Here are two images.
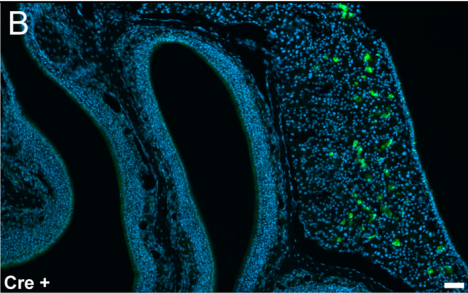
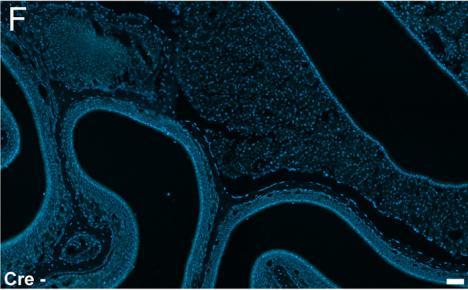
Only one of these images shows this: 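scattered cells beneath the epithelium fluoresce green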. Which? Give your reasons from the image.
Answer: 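Second image: the tissue beside the epithelium shows only blue nuclei. First image: many green cells are scattered in the tissue beside the epithelium. That points to this answer: the first image.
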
